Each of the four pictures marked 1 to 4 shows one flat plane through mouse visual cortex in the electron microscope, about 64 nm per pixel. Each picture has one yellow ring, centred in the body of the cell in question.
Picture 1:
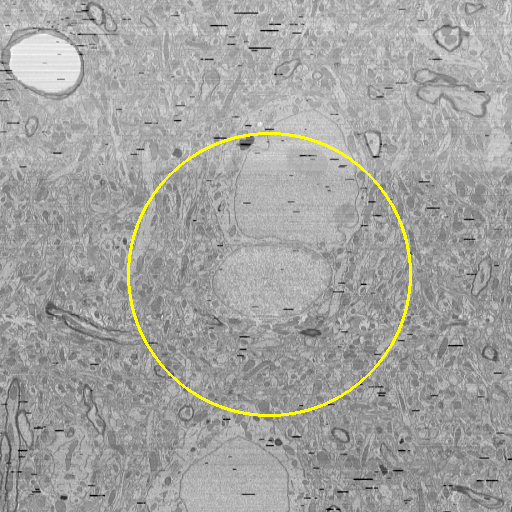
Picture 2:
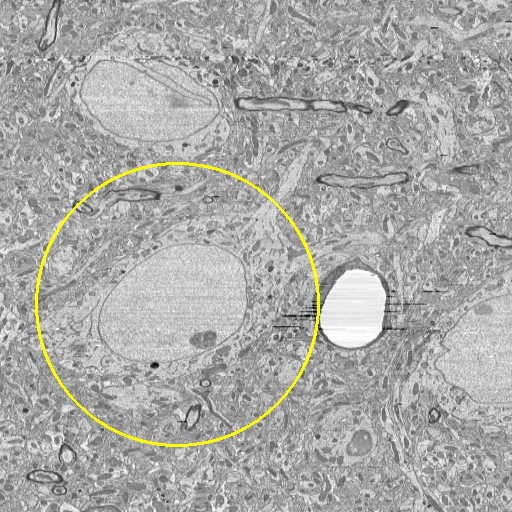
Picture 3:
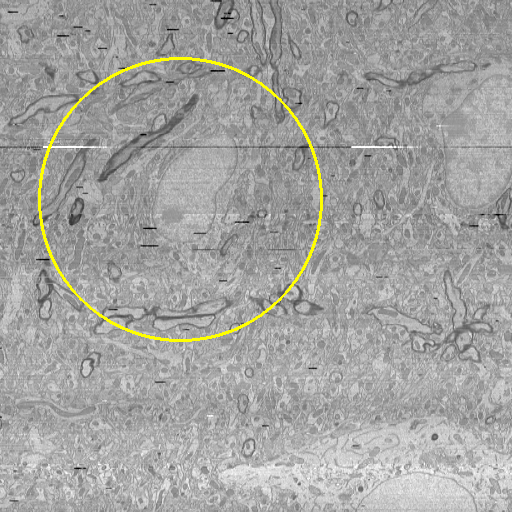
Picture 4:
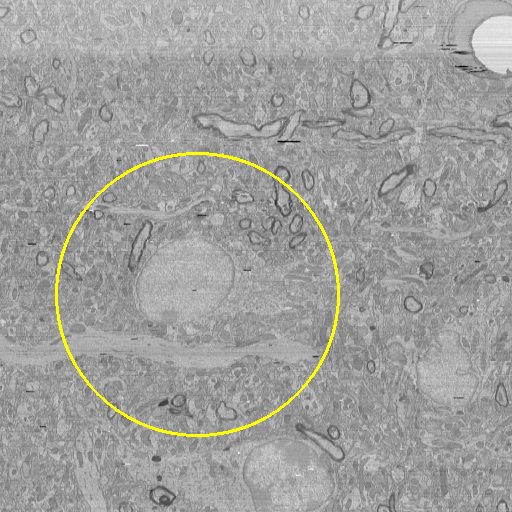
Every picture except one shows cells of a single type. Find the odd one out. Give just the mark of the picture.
2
